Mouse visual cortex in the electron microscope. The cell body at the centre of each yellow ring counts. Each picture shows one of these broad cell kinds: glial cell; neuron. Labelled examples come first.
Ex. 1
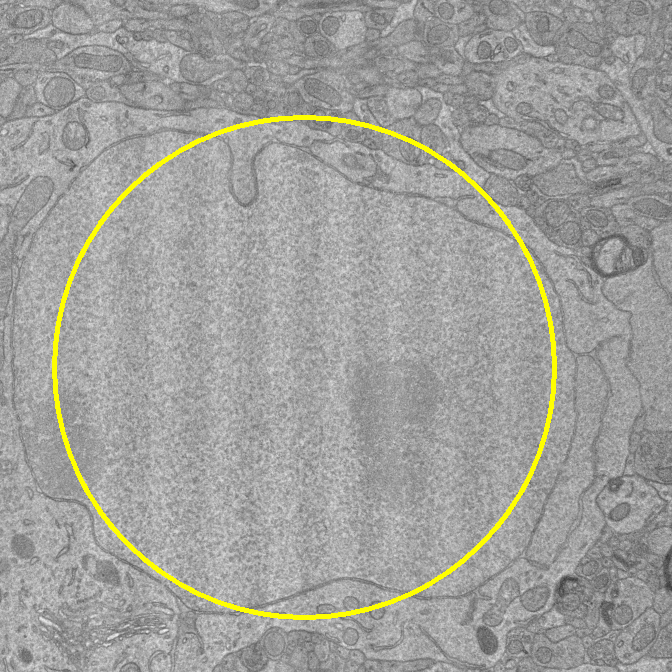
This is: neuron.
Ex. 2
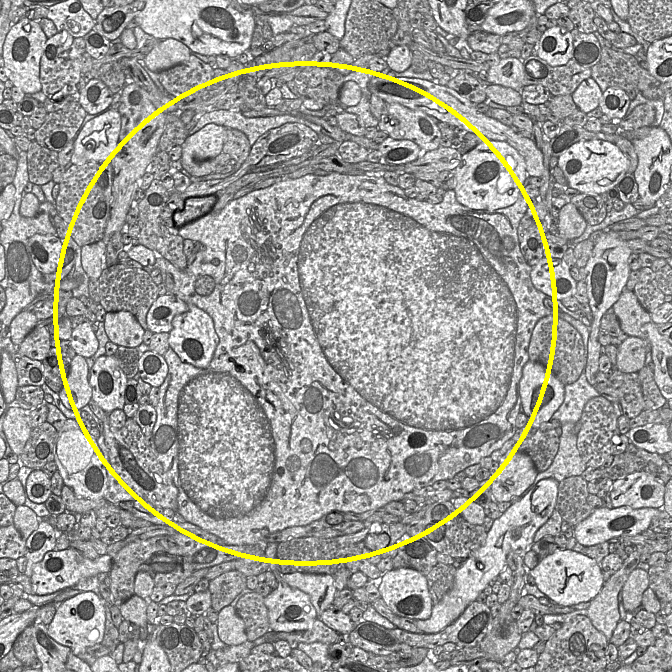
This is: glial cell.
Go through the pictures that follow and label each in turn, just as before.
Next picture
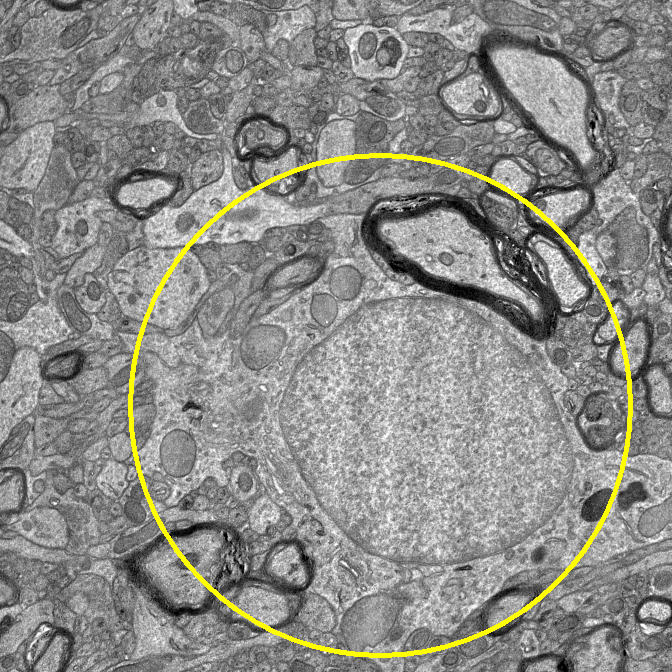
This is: glial cell.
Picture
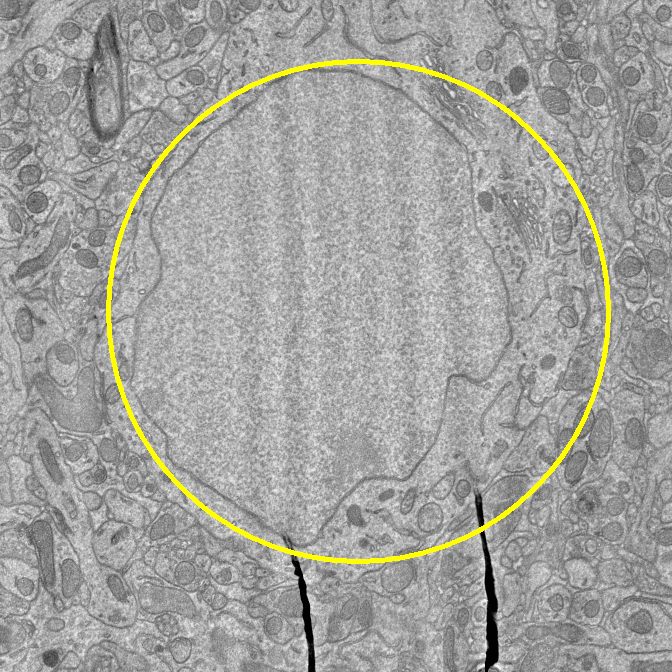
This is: neuron.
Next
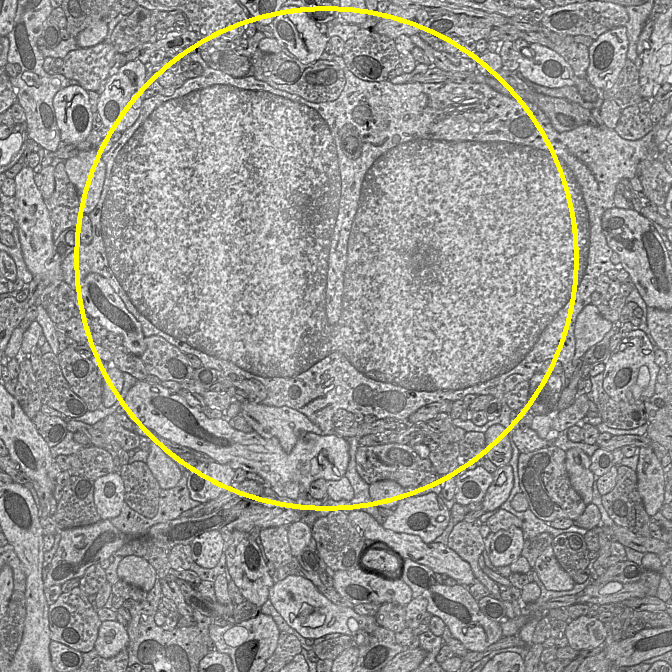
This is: glial cell.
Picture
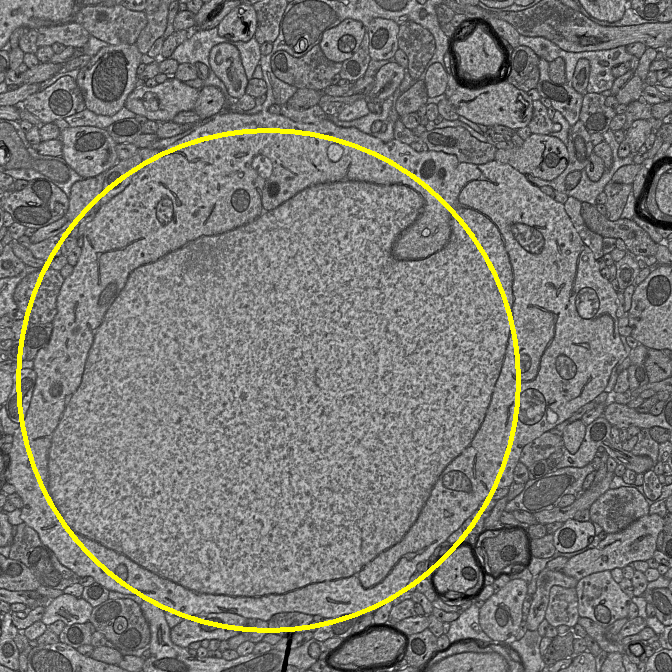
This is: neuron.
